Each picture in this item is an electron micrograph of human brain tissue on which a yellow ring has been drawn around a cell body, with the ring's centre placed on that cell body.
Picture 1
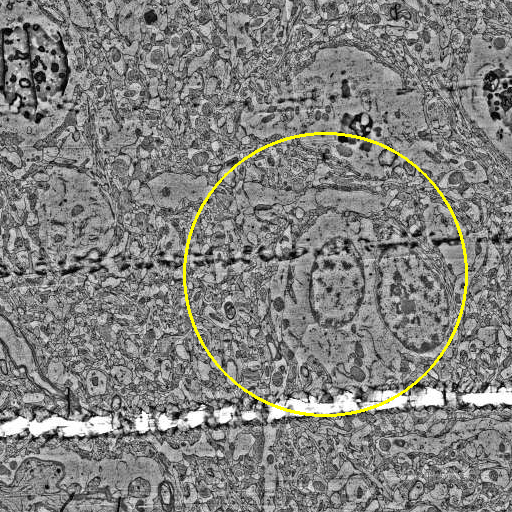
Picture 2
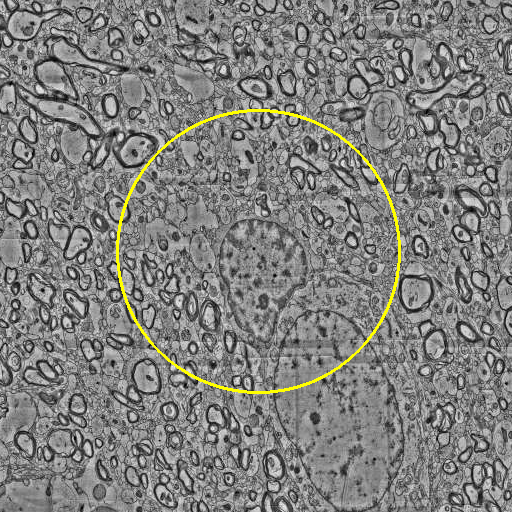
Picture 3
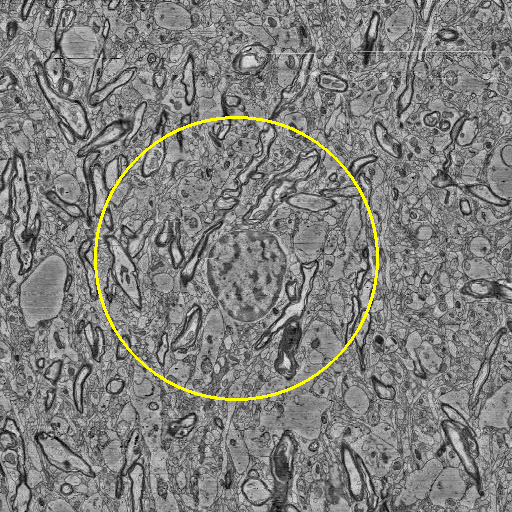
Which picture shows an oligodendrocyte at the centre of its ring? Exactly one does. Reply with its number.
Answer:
2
